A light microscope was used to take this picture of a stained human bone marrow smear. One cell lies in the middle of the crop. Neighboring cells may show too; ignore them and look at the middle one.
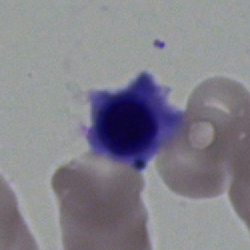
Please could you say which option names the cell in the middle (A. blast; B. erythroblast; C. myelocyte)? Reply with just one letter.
B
